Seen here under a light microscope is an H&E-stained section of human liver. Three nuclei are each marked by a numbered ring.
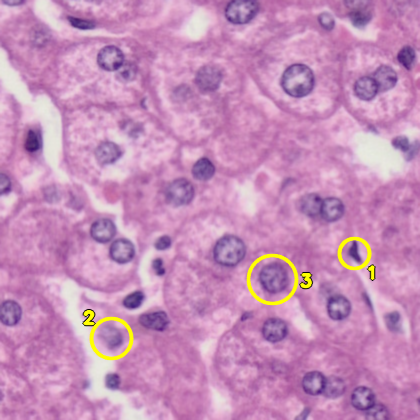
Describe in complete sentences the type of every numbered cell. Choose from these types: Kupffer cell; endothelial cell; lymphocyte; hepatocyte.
Cell 1 is an endothelial cell. Cell 2 is a Kupffer cell. Cell 3 is a hepatocyte.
